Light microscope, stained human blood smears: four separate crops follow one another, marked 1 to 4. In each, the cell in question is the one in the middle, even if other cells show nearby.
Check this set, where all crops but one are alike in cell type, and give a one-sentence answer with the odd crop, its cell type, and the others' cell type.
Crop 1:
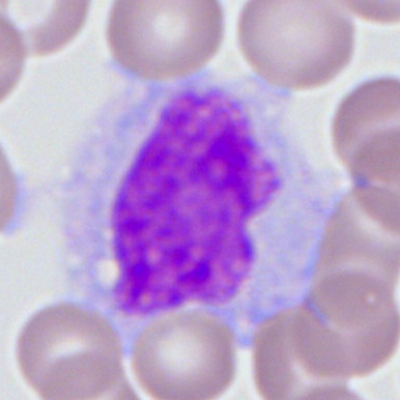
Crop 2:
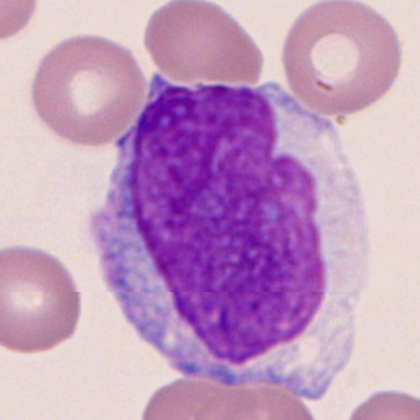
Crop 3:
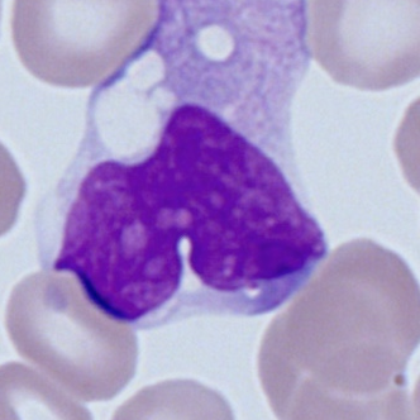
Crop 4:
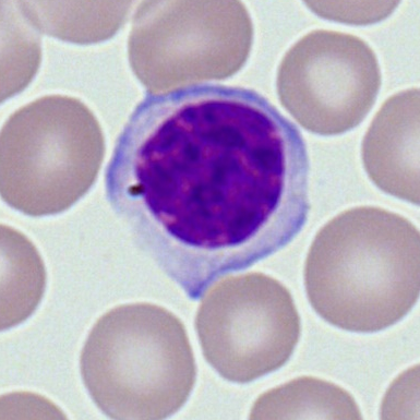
All of the other crops show monocytes, while crop 4 shows a lymphocyte instead.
